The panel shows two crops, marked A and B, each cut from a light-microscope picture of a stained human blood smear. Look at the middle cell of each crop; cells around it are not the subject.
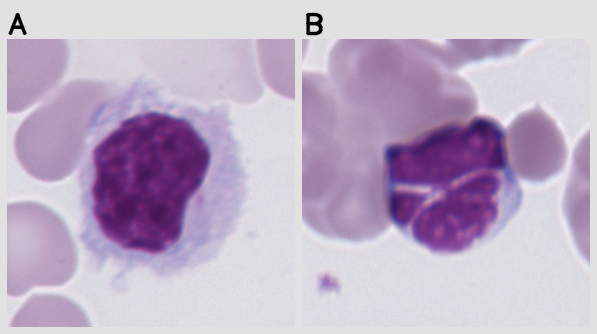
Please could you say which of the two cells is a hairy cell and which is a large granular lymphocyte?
A: hairy cell
B: large granular lymphocyte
